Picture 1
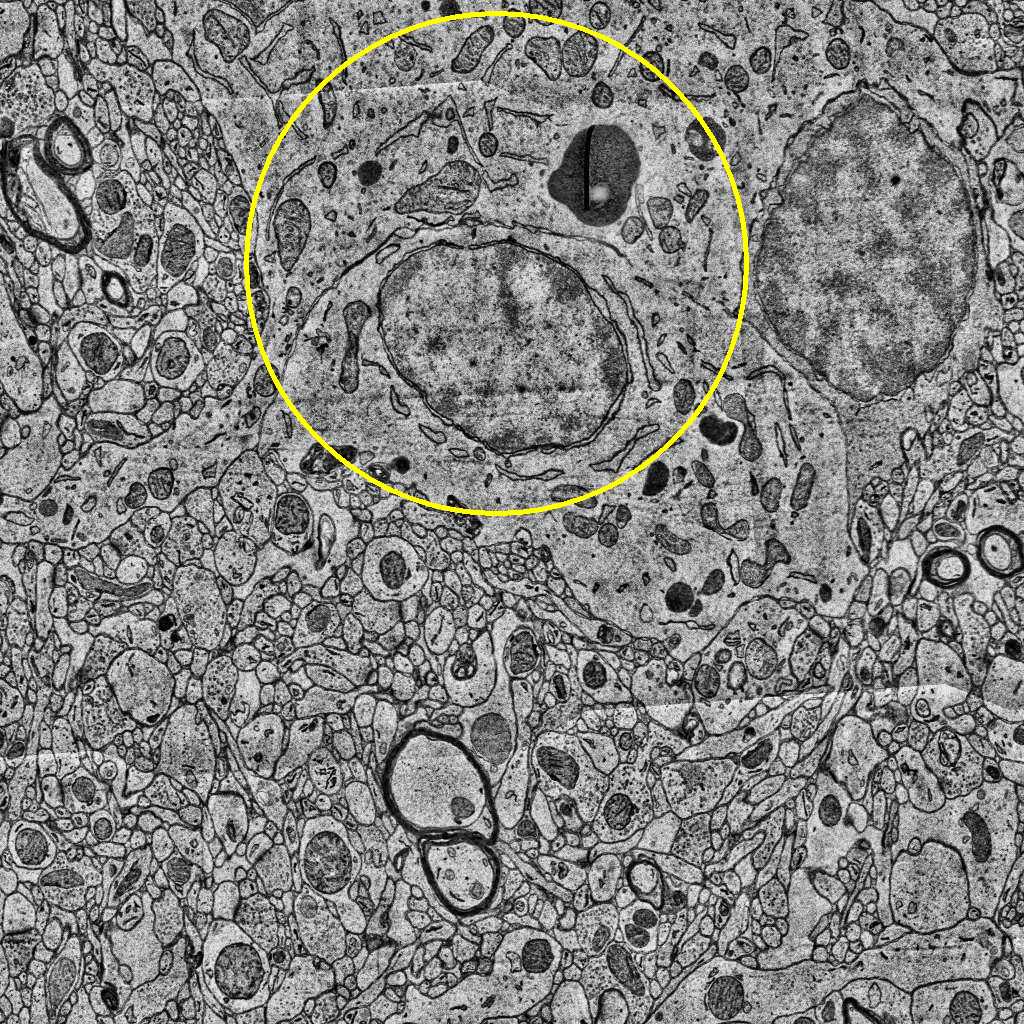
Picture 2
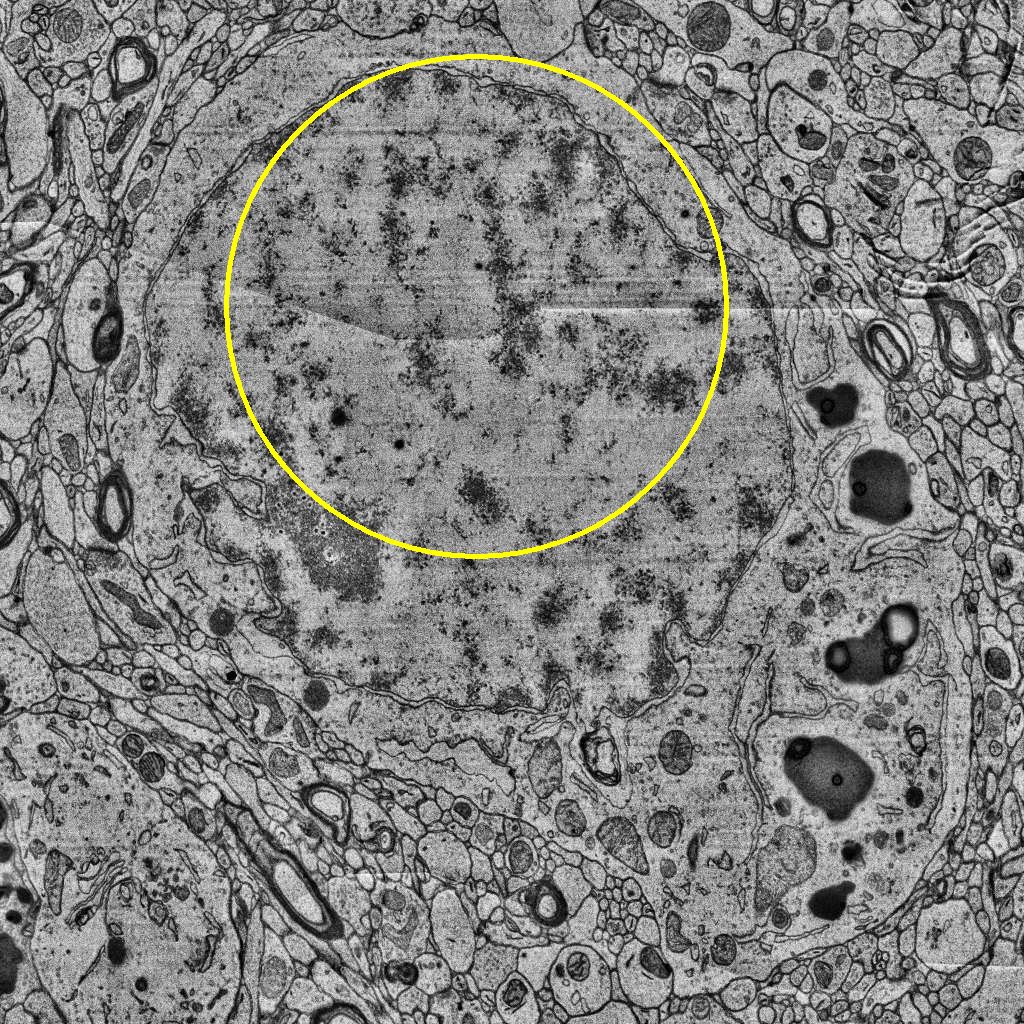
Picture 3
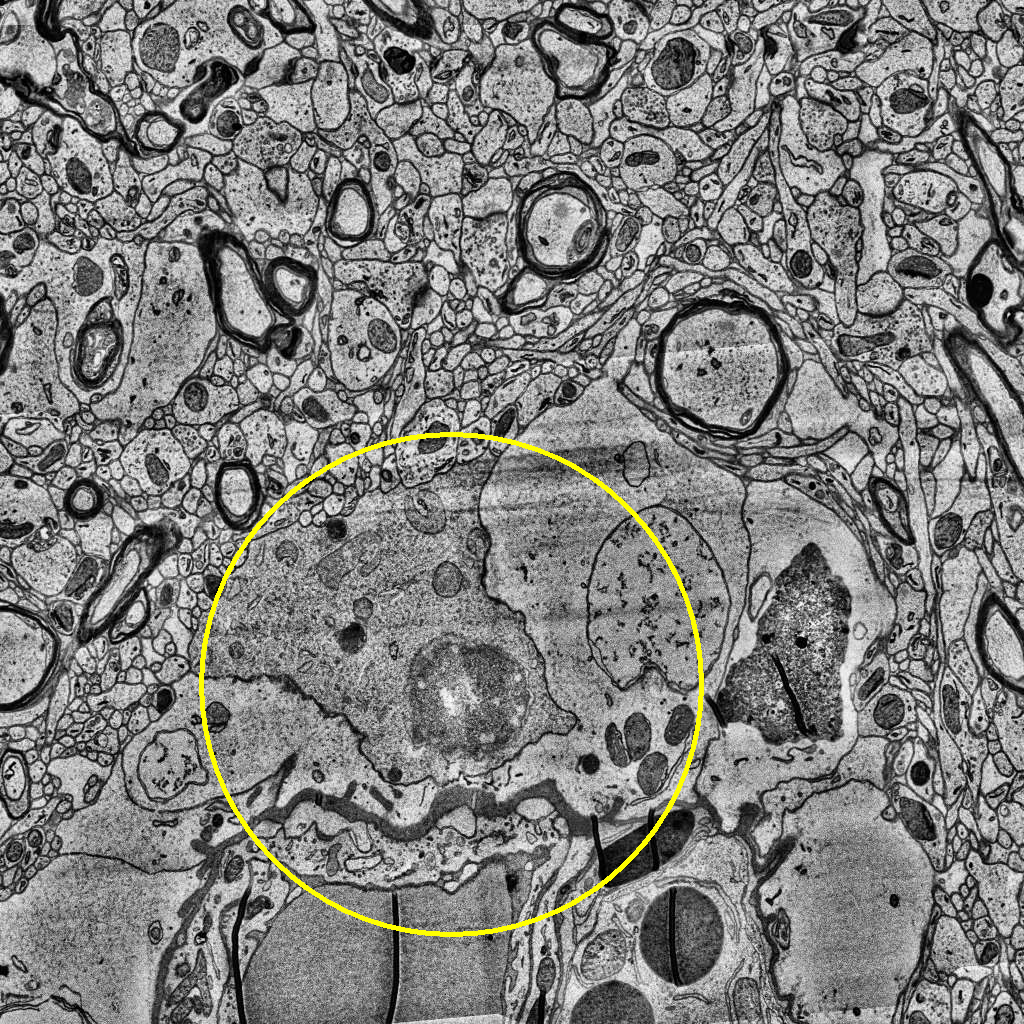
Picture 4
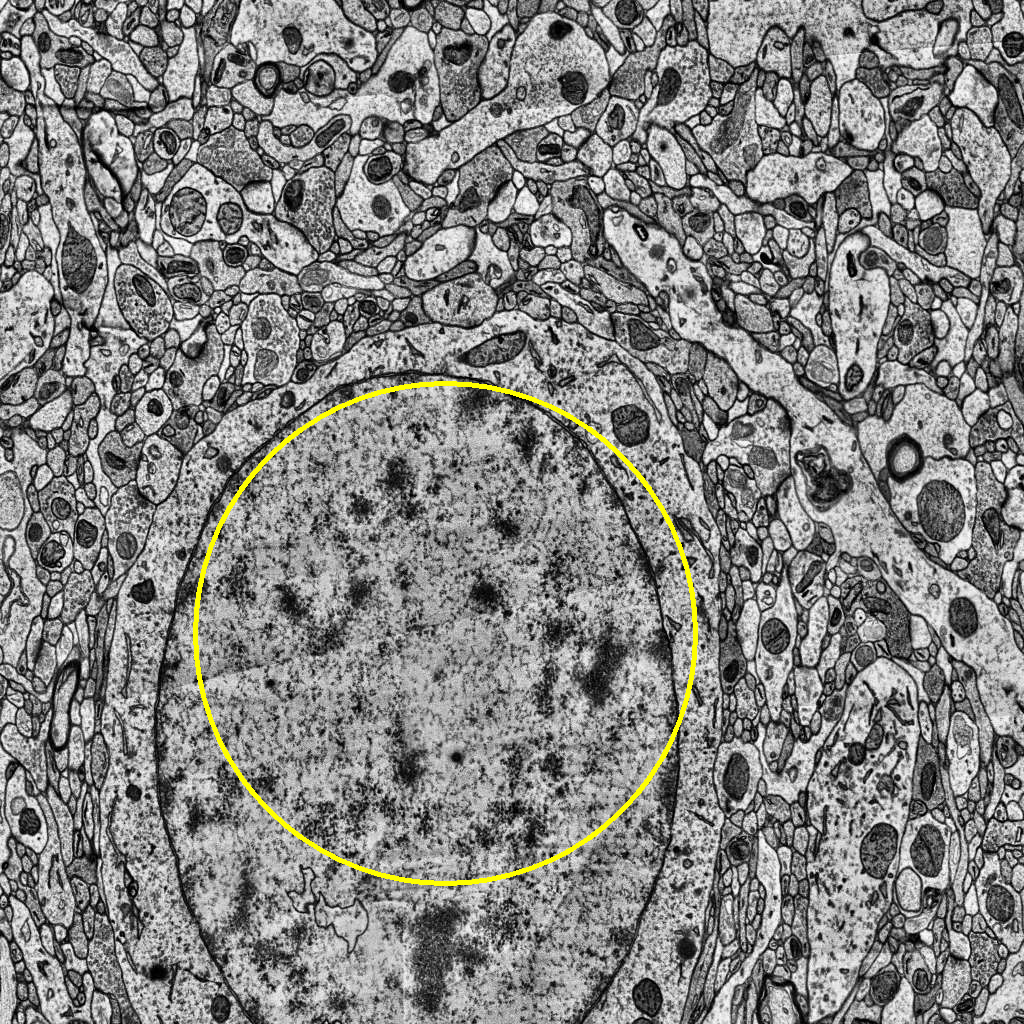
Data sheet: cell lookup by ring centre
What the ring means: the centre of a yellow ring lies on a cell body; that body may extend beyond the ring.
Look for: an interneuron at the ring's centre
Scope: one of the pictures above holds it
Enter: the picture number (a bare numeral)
2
